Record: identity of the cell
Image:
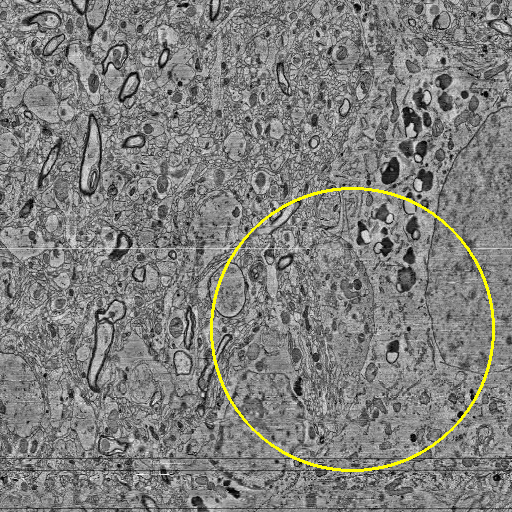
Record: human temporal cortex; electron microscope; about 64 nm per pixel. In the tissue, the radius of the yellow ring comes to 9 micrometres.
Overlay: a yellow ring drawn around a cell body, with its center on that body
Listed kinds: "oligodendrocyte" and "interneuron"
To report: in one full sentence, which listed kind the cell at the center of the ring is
In the image, the cell body at the ring's center belongs to an oligodendrocyte.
